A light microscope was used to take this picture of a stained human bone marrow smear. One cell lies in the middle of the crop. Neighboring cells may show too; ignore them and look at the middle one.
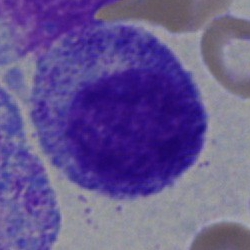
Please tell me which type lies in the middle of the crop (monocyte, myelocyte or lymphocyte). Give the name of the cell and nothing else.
myelocyte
